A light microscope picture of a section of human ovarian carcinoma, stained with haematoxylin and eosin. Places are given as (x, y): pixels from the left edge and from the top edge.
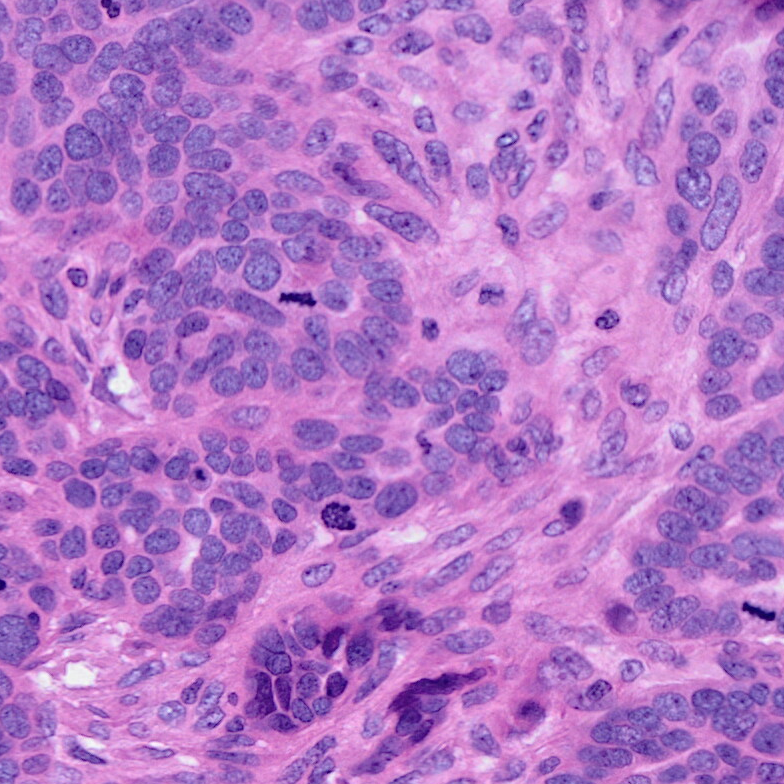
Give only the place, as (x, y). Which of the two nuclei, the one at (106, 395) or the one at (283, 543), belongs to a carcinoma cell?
(283, 543)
